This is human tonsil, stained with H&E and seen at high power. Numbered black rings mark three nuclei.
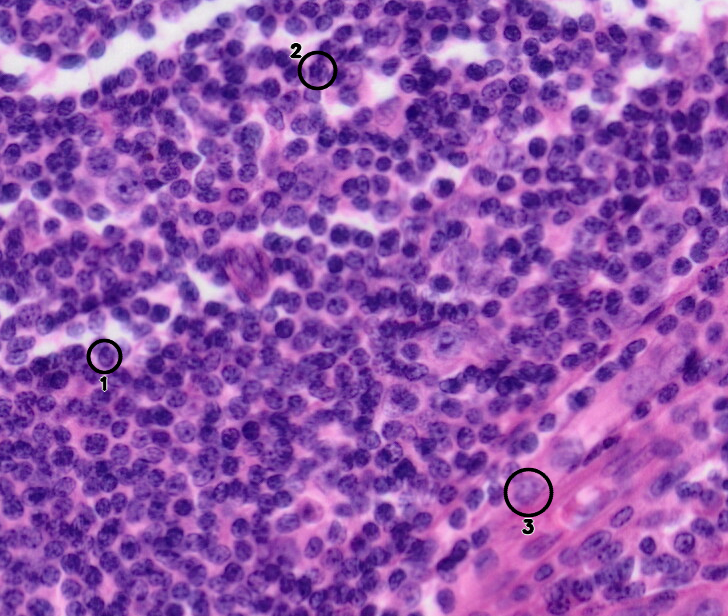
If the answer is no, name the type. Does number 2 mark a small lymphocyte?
Yes.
